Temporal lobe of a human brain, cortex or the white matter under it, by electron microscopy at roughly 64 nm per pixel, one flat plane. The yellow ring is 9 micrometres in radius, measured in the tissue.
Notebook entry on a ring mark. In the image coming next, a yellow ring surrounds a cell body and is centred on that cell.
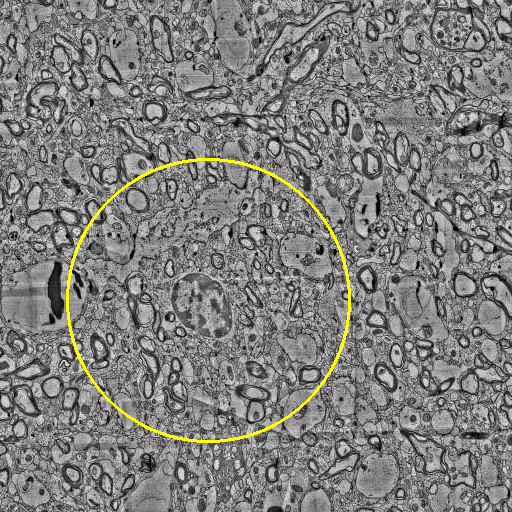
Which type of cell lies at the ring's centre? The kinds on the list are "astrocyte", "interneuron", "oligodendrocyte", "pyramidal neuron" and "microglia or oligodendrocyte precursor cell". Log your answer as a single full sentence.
Centred in the yellow ring is a microglial cell or oligodendrocyte precursor cell, the cell recorded for this image.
